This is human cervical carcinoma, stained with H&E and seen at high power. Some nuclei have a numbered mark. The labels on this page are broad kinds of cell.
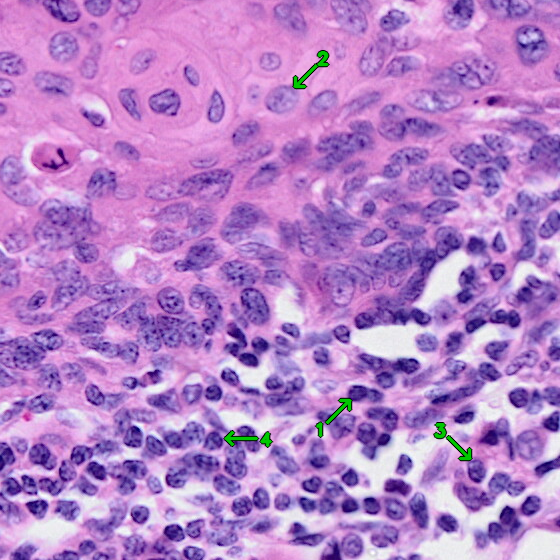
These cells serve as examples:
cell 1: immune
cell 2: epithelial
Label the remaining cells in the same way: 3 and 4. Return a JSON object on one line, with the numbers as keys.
{"3": "immune", "4": "immune"}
